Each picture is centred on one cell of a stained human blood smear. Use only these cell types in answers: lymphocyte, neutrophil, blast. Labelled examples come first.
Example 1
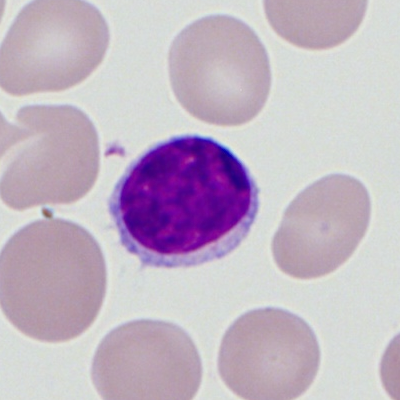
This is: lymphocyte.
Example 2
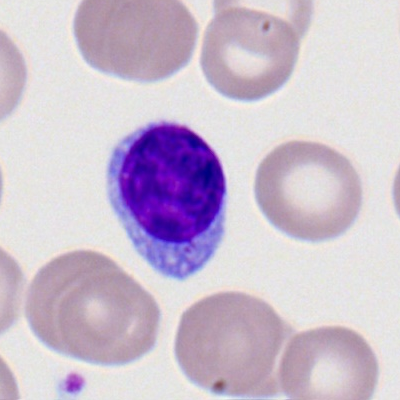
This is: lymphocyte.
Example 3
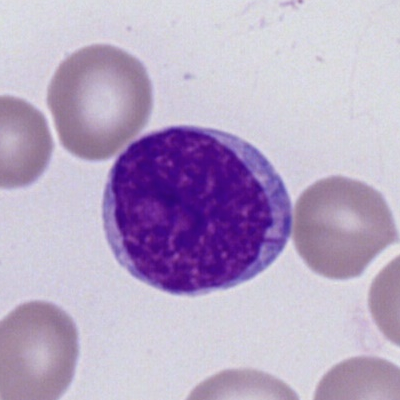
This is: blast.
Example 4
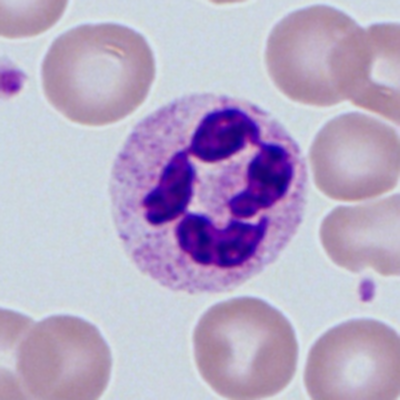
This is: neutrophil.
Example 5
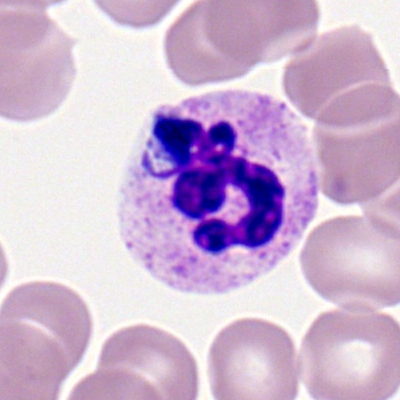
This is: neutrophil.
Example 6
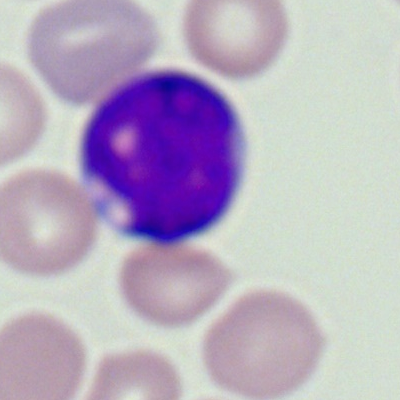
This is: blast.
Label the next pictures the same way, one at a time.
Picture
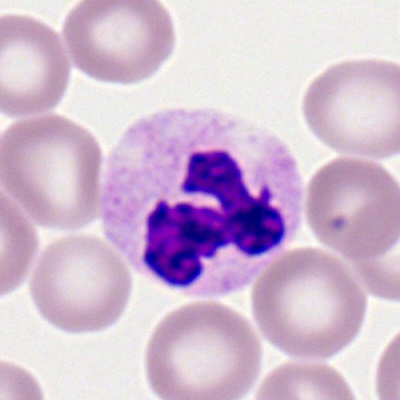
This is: neutrophil.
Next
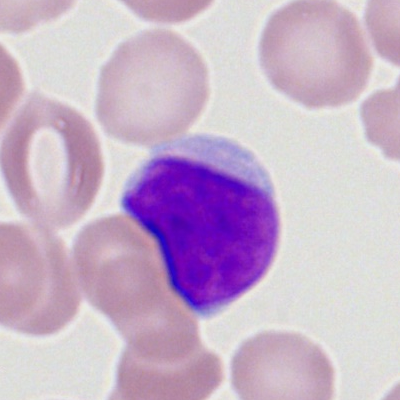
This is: lymphocyte.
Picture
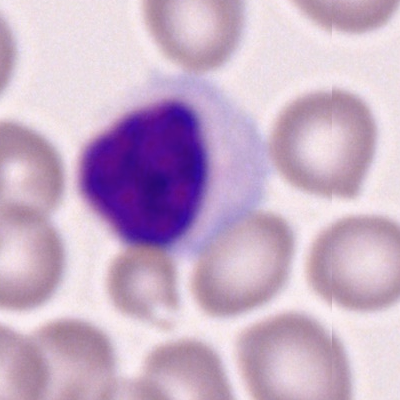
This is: lymphocyte.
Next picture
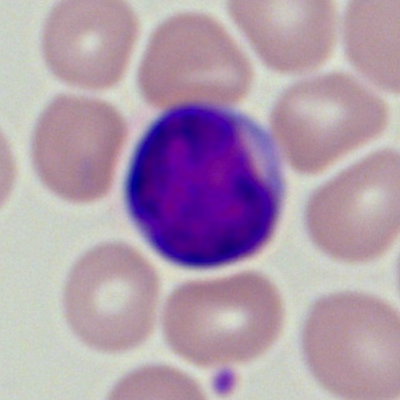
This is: blast.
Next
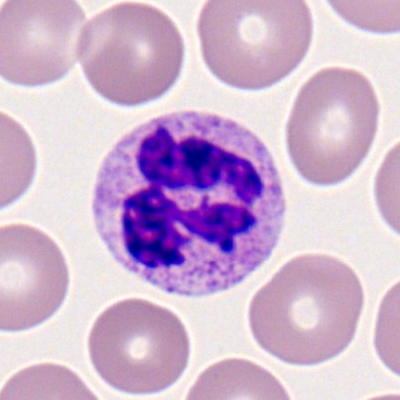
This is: neutrophil.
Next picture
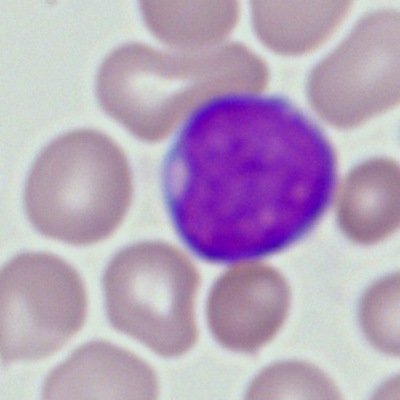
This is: blast.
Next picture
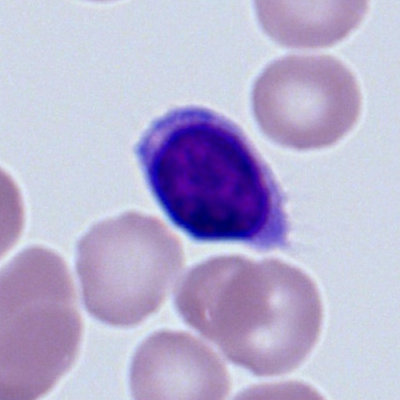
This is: lymphocyte.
